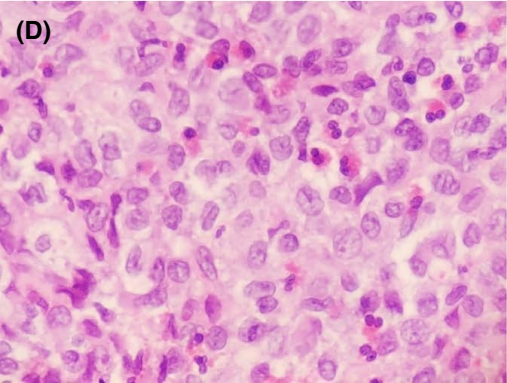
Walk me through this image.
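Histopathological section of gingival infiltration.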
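A sheet of large histiocytes with coffee-bean-like nuclei lies in a background with eosinophils. The large cells have abundant pale pink, ill-defined cytoplasm and oval to kidney-shaped pale nuclei with fine chromatin; some nuclei show a longitudinal groove or fold. Scattered among them are smaller cells with bright pink granular cytoplasm and dark bilobed nuclei, the eosinophils, and a few small cells with round dark nuclei. The cells are loosely packed without glandular or layered arrangement.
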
